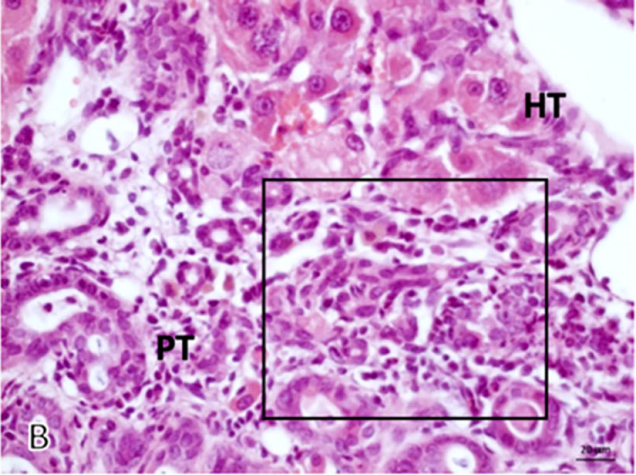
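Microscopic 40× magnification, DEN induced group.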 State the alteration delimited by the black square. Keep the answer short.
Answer: Bile Duct hyperplasia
